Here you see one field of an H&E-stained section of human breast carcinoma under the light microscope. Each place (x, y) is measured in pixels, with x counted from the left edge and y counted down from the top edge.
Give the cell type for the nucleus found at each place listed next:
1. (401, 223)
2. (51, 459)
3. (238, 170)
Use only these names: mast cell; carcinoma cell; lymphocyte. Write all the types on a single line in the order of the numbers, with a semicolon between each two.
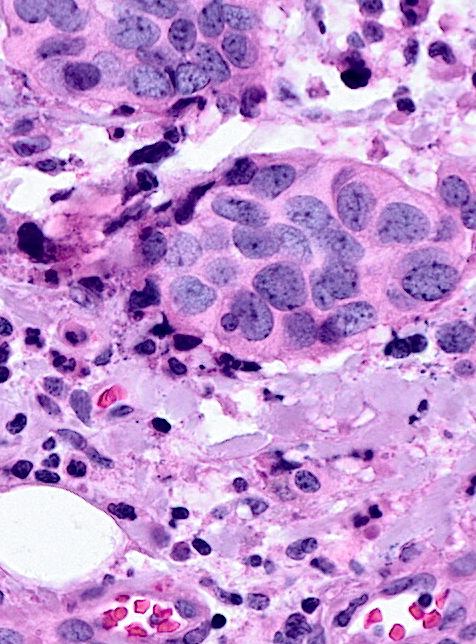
carcinoma cell; lymphocyte; carcinoma cell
